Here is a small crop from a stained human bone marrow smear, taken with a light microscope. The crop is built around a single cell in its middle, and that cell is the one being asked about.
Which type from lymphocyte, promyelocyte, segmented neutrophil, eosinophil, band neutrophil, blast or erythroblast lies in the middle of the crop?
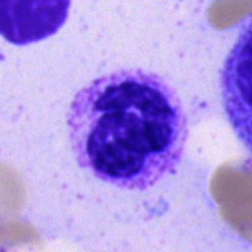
segmented neutrophil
